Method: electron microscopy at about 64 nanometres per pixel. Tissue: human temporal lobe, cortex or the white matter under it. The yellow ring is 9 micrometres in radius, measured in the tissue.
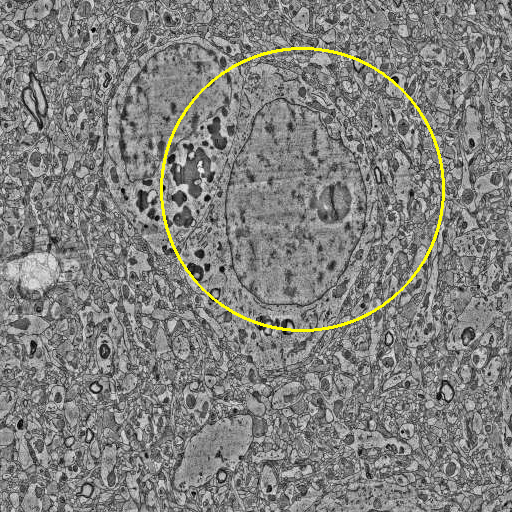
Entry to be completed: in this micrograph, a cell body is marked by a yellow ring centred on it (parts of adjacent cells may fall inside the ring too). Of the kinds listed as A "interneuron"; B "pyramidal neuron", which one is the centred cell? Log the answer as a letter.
B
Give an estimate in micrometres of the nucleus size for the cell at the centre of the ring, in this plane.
About 13 by 9 micrometres in this plane.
